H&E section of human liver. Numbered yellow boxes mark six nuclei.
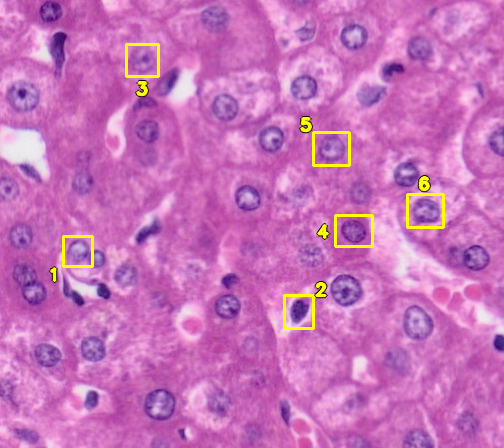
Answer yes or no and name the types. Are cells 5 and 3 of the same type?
Yes, both of the numbered cells concerned, 5 and 3, are hepatocytes.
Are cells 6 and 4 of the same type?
Yes, cells 6 and 4 are both termed hepatocytes.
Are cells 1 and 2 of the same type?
No, cell 1 is to be identified as a cholangiocyte and cell 2 as a lymphocyte.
